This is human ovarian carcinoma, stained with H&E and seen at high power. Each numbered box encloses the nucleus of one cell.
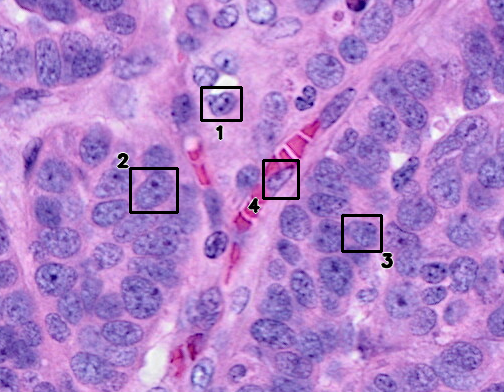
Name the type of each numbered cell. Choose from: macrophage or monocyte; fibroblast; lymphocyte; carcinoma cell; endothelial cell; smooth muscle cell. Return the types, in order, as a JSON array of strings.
["macrophage or monocyte", "carcinoma cell", "carcinoma cell", "endothelial cell"]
